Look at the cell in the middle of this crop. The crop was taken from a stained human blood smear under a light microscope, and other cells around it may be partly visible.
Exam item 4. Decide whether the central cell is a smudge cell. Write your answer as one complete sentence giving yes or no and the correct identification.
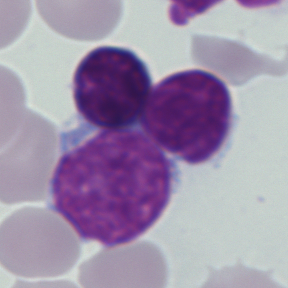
No, the central cell does not represent a smudge cell, but a myeloblast.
